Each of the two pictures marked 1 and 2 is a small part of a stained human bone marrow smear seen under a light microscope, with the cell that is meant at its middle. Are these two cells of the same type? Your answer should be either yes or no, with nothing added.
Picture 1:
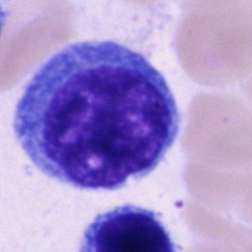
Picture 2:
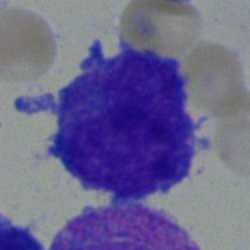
yes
